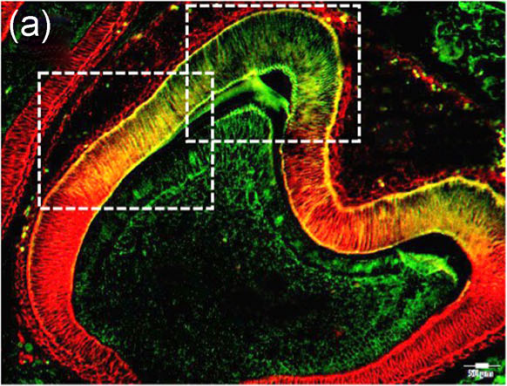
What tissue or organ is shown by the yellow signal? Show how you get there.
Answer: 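A thick folded layer of tall columnar cells lines a large curved mesenchymal core. Part of this columnar layer shows yellow where red and green overlap. The answer: inner enamel epithelium.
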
